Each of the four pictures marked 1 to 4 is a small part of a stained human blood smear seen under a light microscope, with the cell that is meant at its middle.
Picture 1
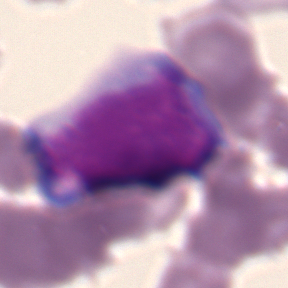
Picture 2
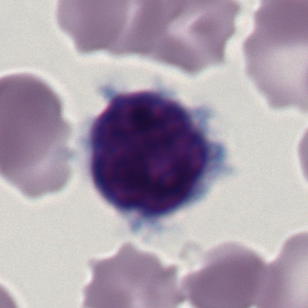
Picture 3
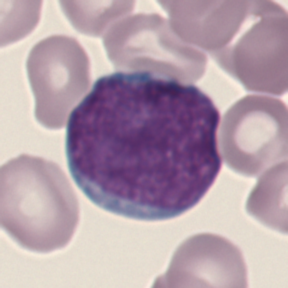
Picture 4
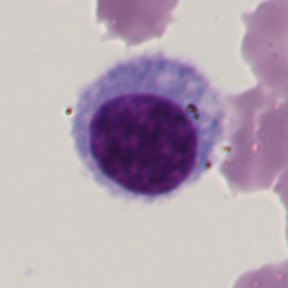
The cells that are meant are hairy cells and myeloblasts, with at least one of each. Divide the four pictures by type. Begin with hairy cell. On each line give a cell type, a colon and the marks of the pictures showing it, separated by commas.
hairy cell: 2, 4
myeloblast: 1, 3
